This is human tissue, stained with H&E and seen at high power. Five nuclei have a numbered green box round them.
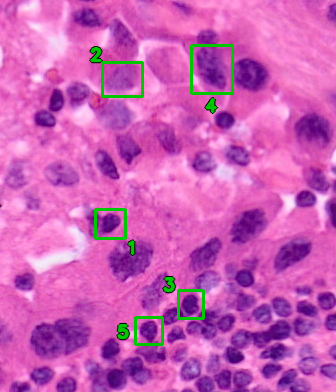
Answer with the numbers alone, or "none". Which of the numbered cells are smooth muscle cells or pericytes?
none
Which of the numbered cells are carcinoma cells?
2, 4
